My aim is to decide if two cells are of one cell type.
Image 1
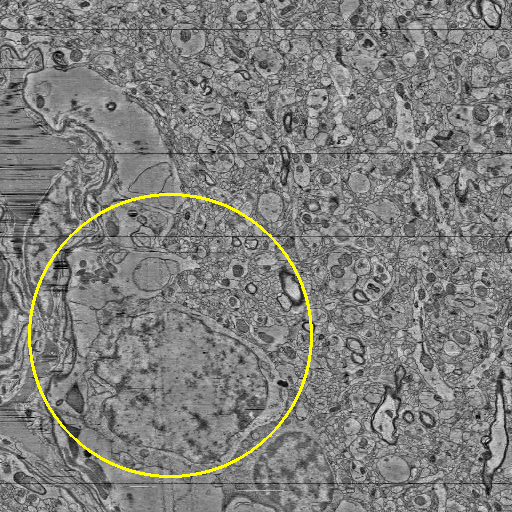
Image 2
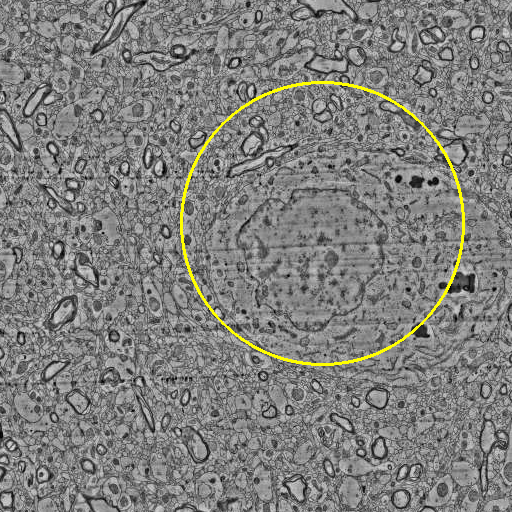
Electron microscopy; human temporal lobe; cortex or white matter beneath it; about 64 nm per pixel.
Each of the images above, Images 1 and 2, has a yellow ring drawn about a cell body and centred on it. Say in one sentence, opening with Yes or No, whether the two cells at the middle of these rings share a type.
Yes, in Images 1 and 2 the cells at the middle of the rings share one type.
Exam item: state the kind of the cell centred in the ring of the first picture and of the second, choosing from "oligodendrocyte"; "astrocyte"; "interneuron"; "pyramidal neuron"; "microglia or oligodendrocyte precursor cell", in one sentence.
Each cell at the centre of a ring is an interneuron.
